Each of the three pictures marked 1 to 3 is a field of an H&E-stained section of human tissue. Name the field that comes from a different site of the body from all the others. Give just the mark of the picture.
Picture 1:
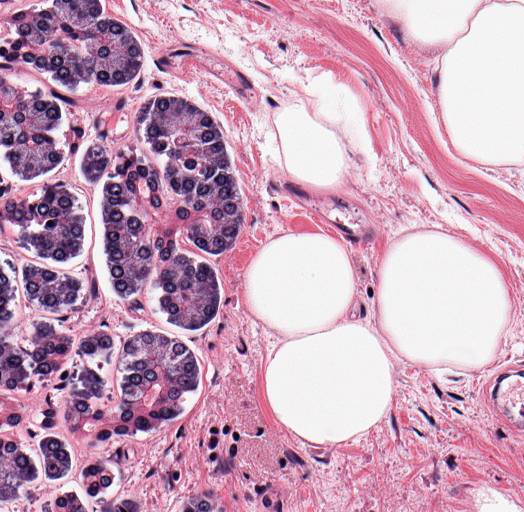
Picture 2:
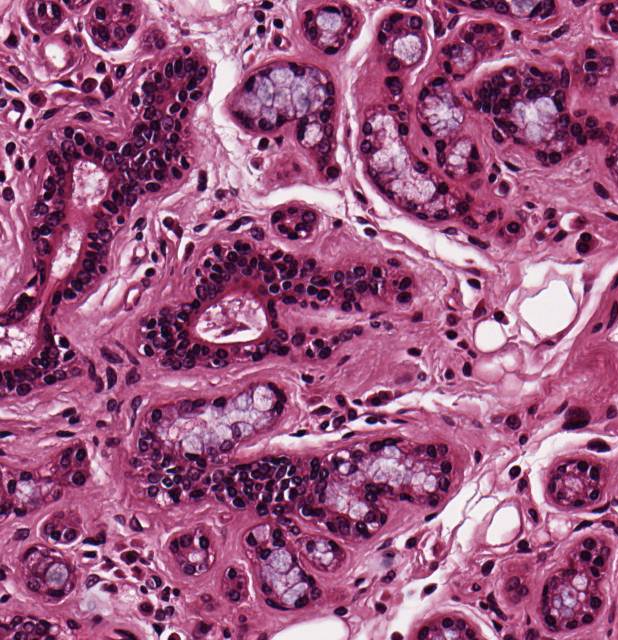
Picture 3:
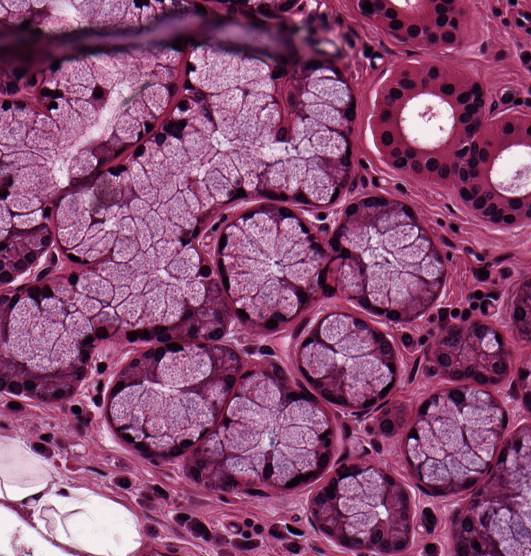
1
